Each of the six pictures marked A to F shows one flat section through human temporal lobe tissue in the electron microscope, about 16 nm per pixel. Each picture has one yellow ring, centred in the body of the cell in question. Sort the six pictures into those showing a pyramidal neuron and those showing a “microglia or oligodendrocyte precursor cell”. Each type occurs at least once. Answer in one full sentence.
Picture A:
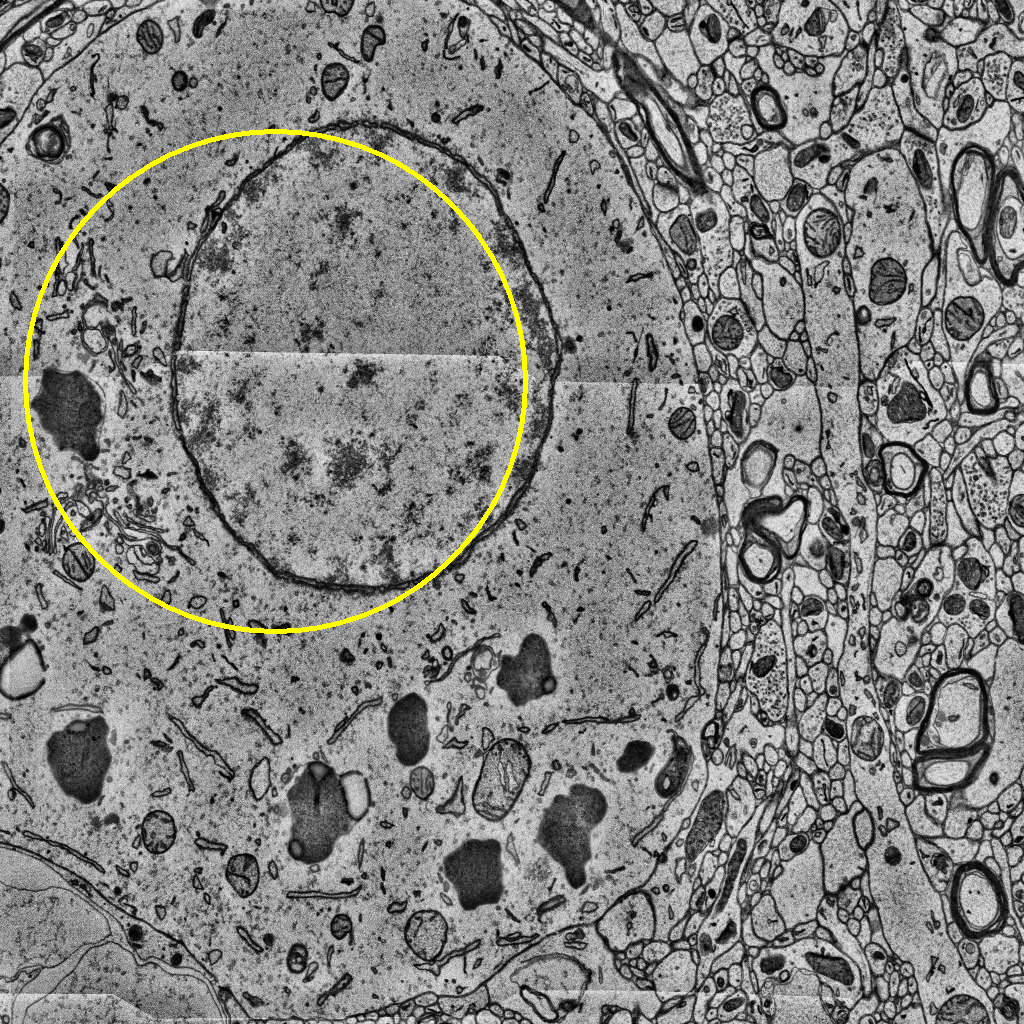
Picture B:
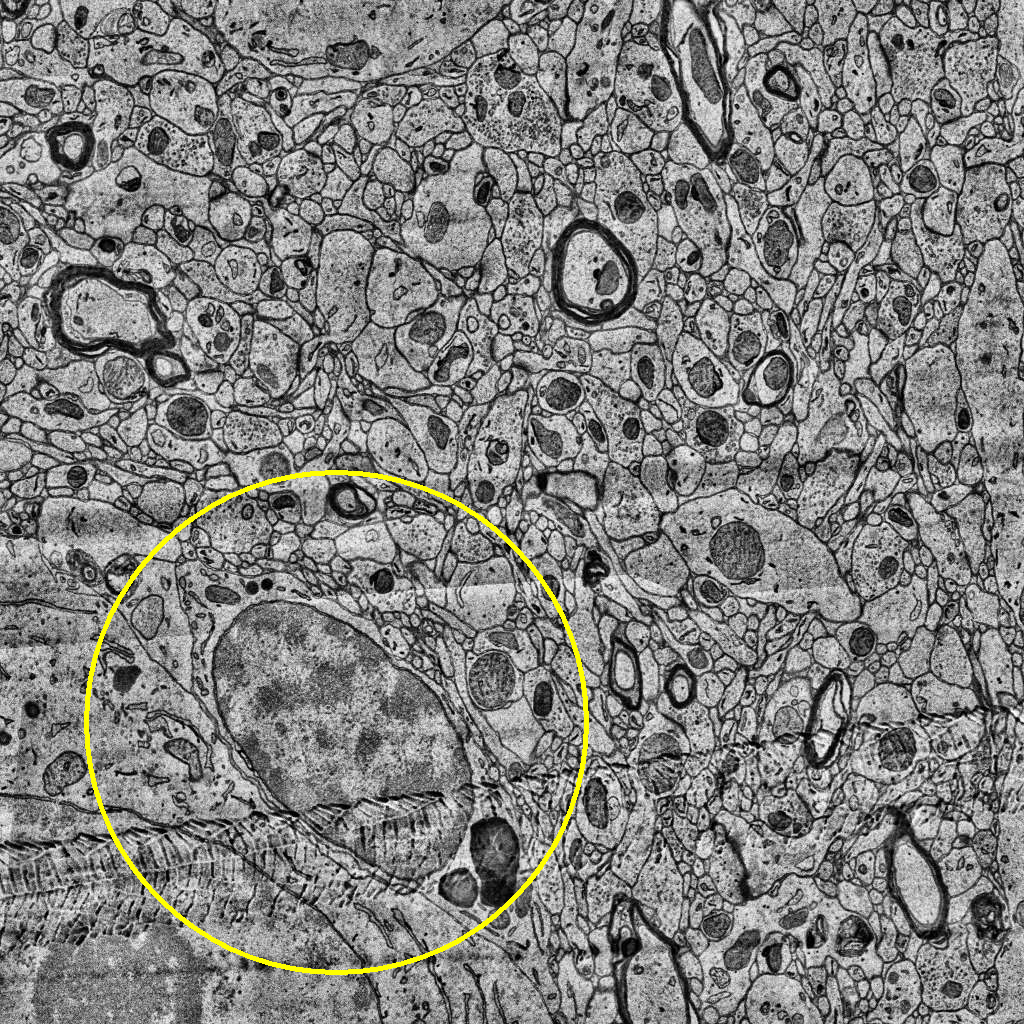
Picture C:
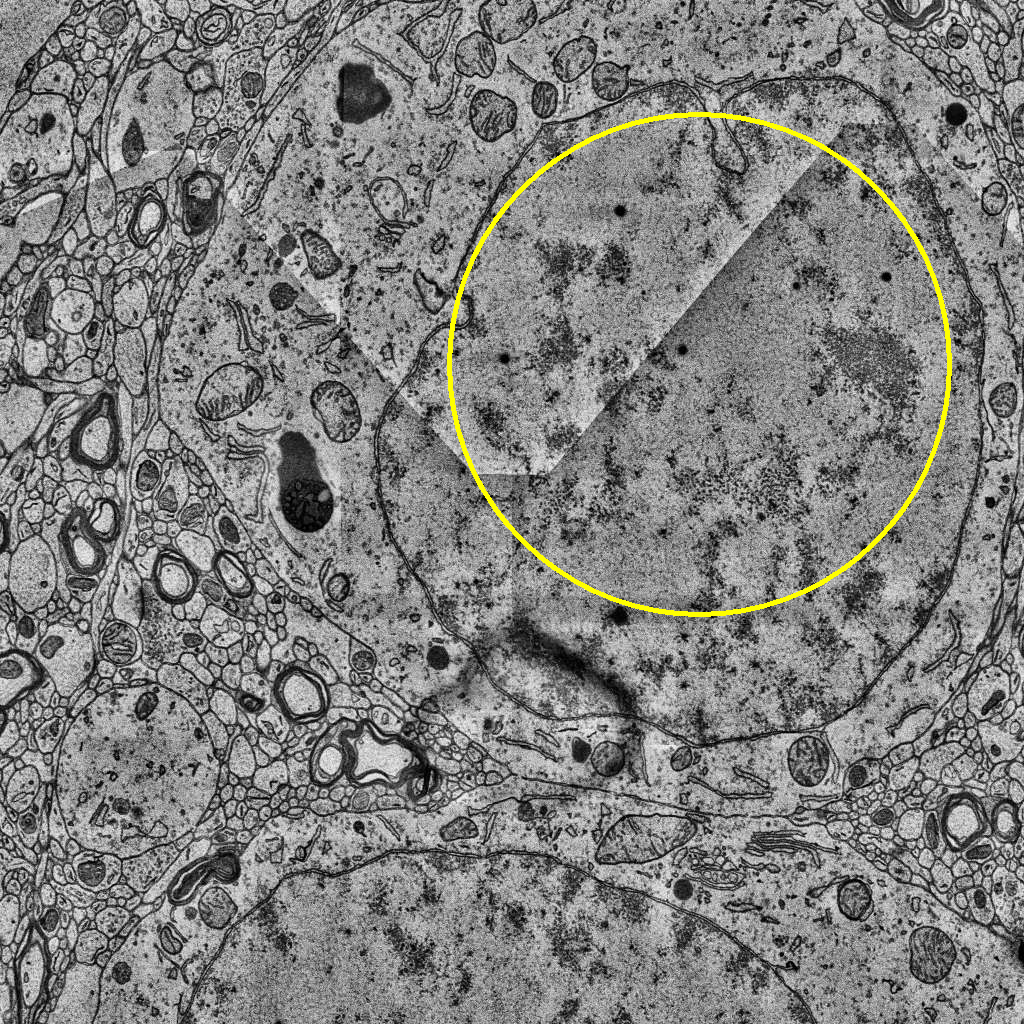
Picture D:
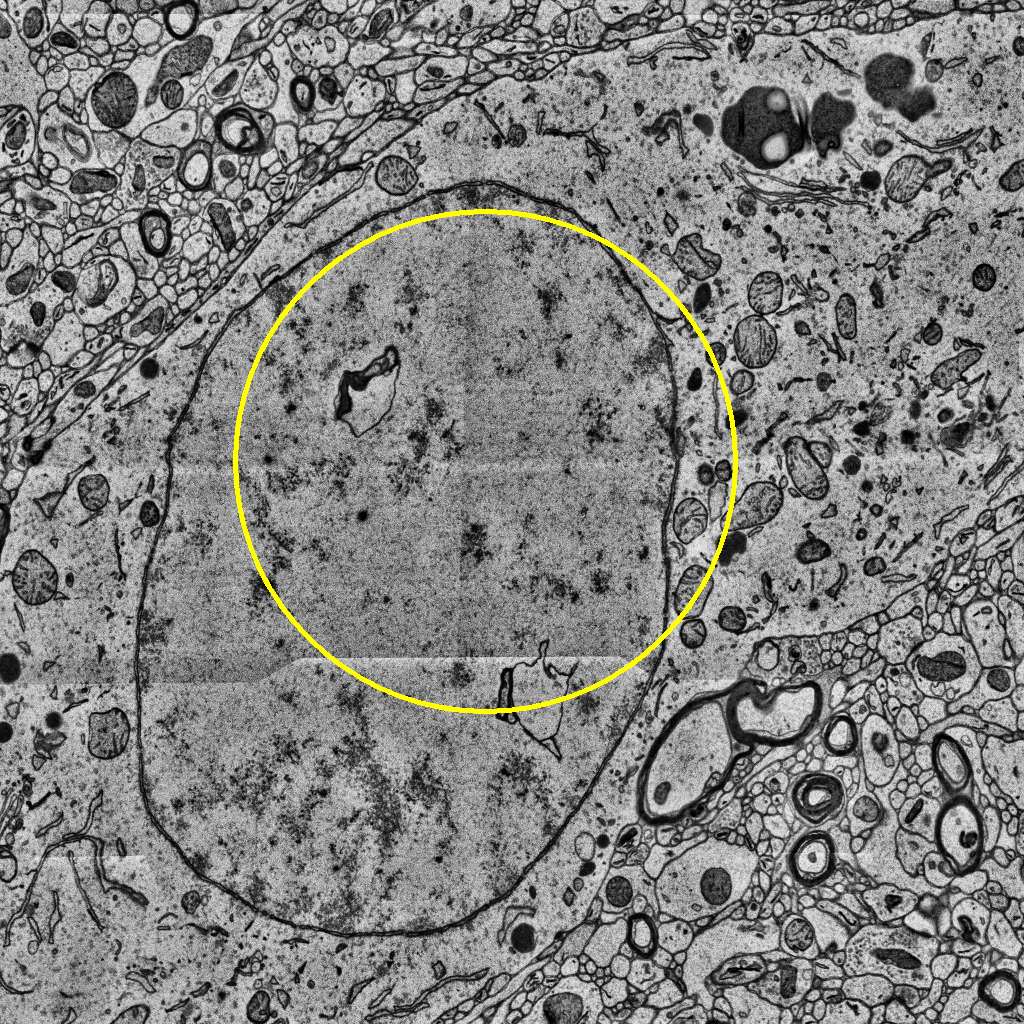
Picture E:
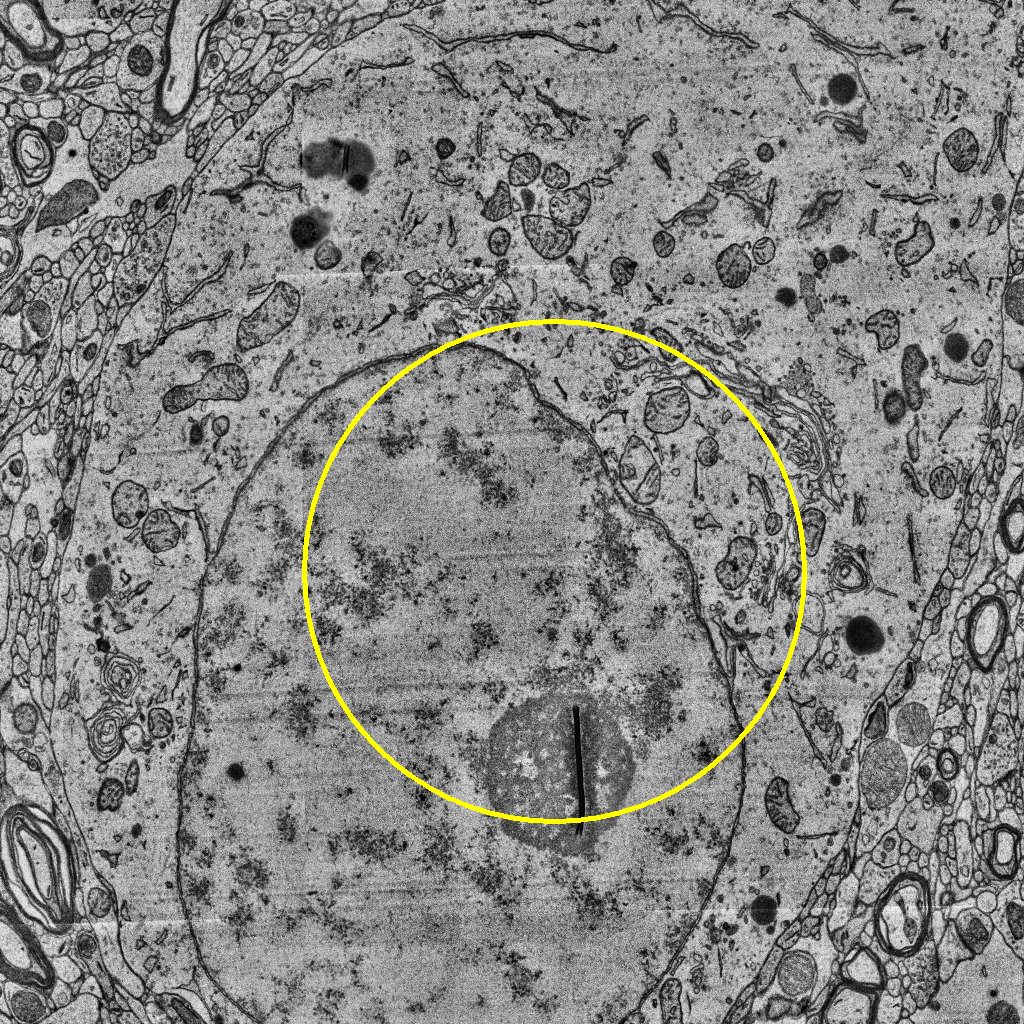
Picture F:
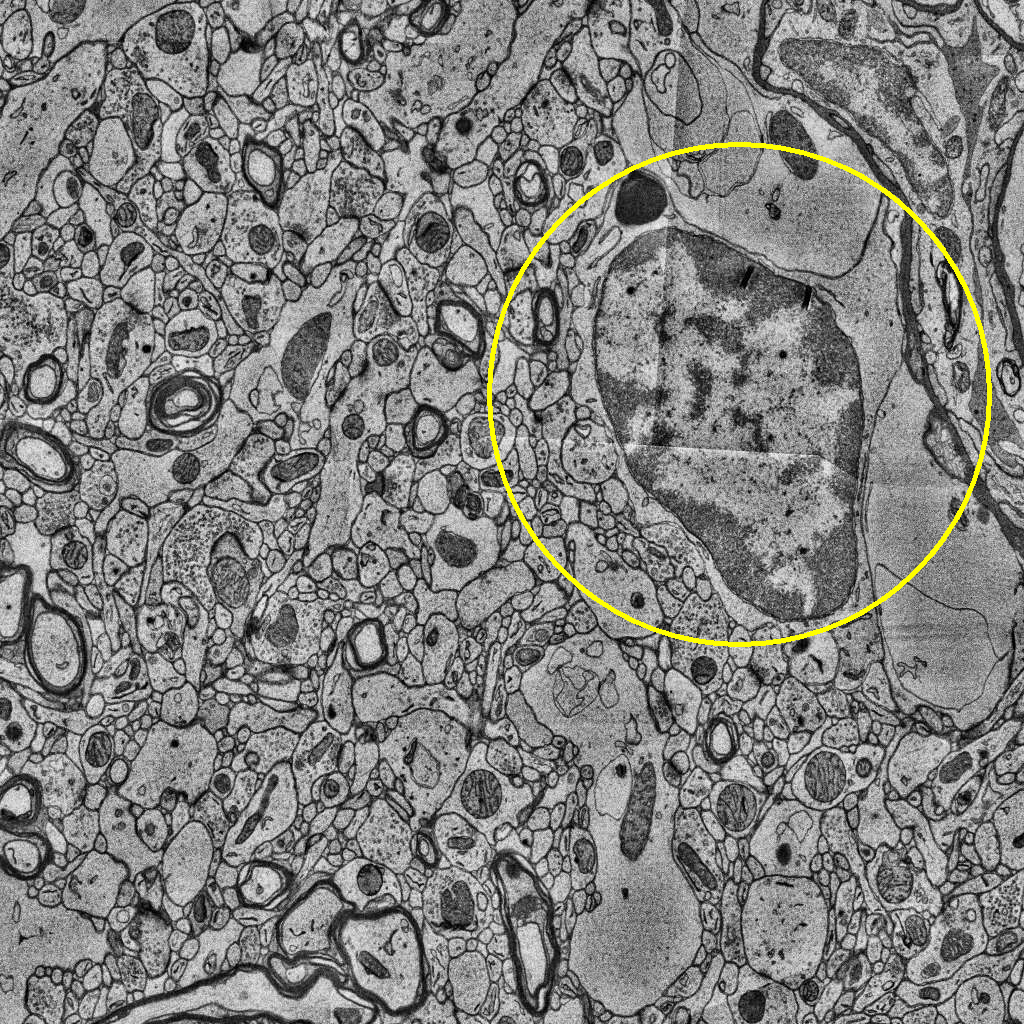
Pictures A, C, D and E show pyramidal neurons; pictures B and F show “microglia or oligodendrocyte precursor cells”.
